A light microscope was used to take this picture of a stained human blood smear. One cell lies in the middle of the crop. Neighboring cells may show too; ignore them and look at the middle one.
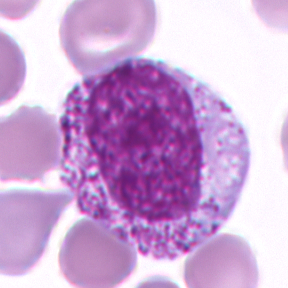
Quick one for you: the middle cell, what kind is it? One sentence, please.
In the center of this field lies a myelocyte.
